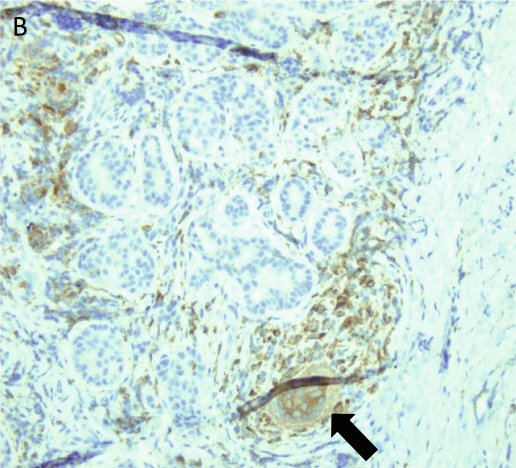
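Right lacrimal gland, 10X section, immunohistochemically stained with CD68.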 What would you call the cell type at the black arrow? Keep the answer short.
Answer: Multinucleated giant cell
